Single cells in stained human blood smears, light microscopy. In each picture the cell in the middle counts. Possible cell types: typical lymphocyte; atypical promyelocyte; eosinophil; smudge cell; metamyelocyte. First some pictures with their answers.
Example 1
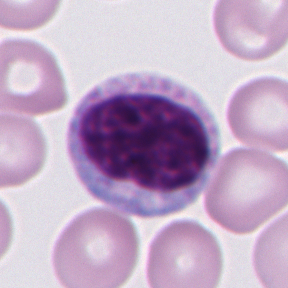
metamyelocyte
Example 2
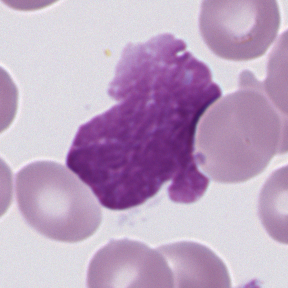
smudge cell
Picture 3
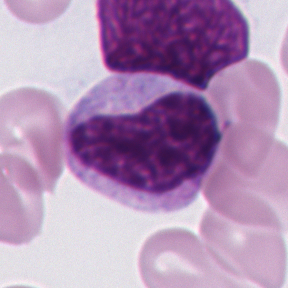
metamyelocyte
